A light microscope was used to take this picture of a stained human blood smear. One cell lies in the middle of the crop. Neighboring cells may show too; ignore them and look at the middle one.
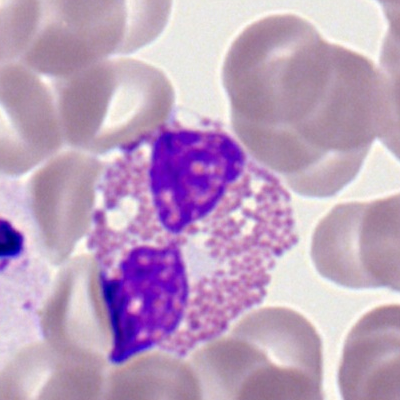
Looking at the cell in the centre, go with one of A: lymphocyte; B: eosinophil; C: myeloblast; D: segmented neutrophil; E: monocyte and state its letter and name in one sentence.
Option B holds up: the cell in the middle is an eosinophil.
